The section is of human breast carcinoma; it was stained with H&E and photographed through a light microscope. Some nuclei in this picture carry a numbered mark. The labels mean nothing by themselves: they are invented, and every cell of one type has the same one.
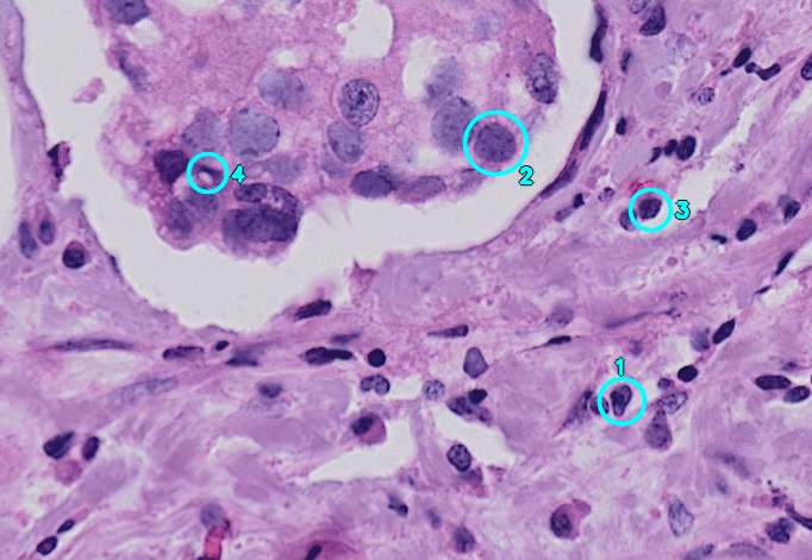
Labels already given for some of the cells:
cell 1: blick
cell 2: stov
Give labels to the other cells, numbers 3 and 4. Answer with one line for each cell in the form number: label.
3: blick
4: stov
